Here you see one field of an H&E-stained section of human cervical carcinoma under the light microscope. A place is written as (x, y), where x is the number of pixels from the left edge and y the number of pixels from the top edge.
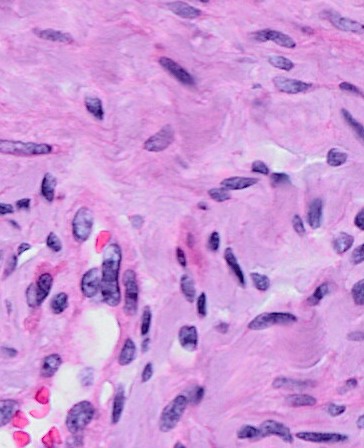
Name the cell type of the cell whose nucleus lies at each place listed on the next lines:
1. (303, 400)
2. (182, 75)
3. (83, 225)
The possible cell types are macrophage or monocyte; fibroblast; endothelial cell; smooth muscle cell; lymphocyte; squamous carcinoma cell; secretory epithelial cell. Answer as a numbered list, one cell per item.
1. smooth muscle cell
2. fibroblast
3. endothelial cell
